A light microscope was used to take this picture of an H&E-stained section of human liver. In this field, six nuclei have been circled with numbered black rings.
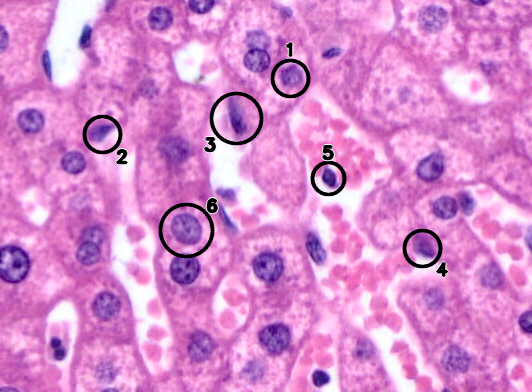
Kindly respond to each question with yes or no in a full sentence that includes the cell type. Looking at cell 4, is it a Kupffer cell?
No, number 4 does not mark a Kupffer cell; it marks an endothelial cell.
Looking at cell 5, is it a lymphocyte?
Yes, the cell with the number 5 is a lymphocyte.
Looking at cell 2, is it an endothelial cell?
Yes, cell number 2 is classified as an endothelial cell.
